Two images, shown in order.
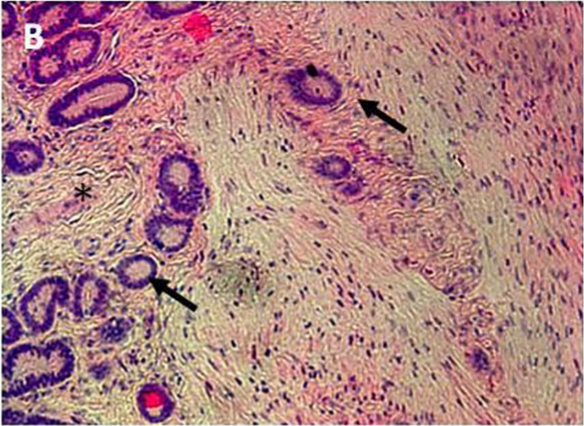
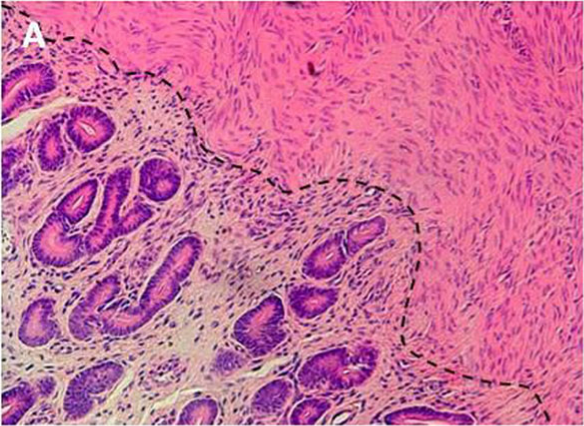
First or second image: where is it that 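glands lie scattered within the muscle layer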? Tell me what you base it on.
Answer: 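First image: gland profiles are scattered among pale spindle-cell muscle bundles. Second image: glands stay in the stroma on one side of a sharp border with the pink muscle, which has no glands. The answer: the first image.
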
